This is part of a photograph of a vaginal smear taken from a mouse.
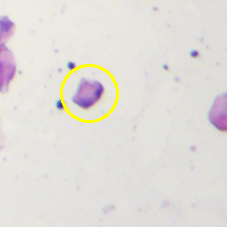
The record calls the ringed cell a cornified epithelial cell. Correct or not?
Correct; it is a cornified epithelial cell.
